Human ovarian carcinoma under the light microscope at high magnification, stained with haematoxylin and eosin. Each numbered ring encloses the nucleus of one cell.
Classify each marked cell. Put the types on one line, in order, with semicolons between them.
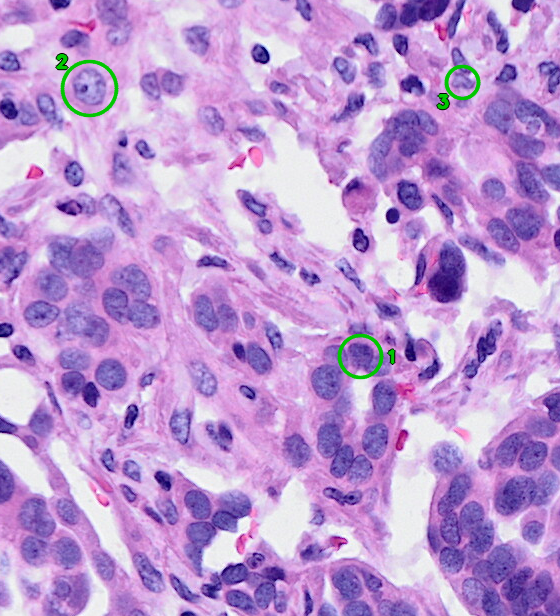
carcinoma cell; fibroblast; fibroblast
